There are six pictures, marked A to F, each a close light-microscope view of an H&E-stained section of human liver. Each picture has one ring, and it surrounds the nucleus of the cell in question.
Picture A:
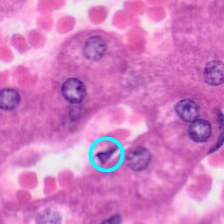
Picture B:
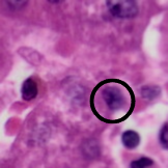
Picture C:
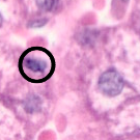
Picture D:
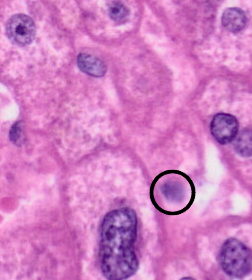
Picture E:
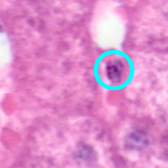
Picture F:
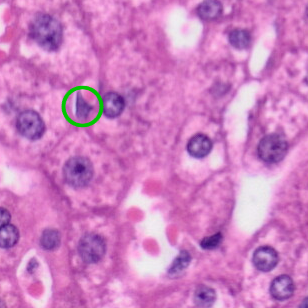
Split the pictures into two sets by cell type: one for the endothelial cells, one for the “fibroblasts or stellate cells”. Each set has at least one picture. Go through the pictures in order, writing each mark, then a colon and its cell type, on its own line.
A: endothelial cell
B: fibroblast or stellate cell
C: fibroblast or stellate cell
D: endothelial cell
E: endothelial cell
F: endothelial cell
